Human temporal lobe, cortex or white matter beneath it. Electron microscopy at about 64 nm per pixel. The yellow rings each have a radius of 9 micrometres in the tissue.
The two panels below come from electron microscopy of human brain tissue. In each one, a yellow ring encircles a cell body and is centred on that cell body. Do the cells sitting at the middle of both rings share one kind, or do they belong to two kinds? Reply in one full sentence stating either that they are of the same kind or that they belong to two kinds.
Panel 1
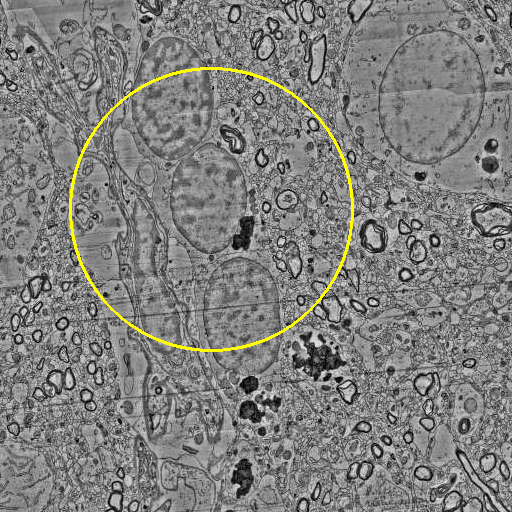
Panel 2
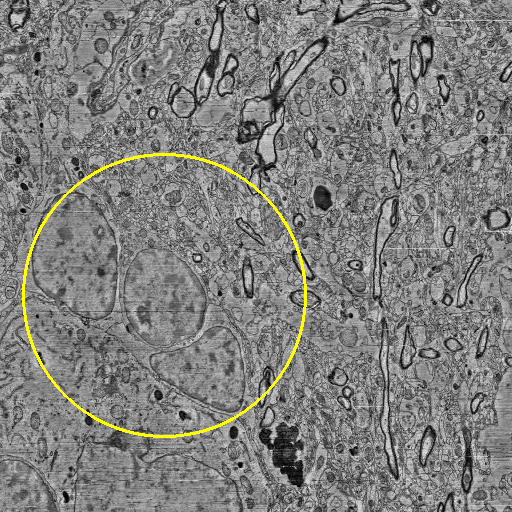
The cells at the centres of the two rings are of the same kind.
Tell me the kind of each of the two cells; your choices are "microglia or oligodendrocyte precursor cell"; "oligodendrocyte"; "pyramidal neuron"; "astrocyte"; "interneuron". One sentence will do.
Each of the two rings is centred on an oligodendrocyte.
